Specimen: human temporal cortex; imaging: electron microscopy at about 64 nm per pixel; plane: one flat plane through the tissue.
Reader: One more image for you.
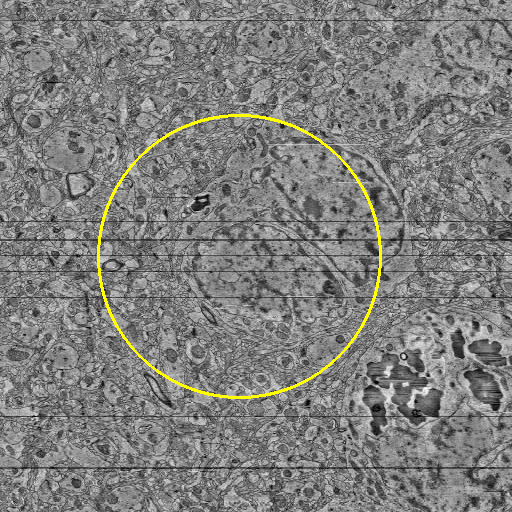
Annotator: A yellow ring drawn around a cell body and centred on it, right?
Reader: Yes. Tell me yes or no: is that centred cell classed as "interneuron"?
yes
